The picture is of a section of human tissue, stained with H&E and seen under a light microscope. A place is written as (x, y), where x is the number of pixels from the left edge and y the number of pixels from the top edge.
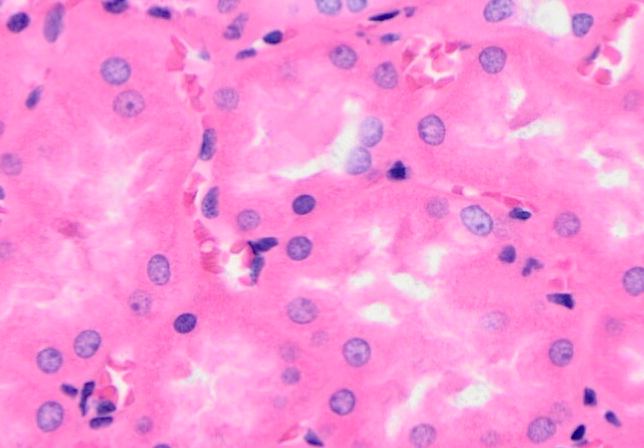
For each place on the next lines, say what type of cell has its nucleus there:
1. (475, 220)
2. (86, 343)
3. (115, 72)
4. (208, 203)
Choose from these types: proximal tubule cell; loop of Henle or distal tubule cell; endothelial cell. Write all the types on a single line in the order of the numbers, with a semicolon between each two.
proximal tubule cell; proximal tubule cell; proximal tubule cell; endothelial cell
